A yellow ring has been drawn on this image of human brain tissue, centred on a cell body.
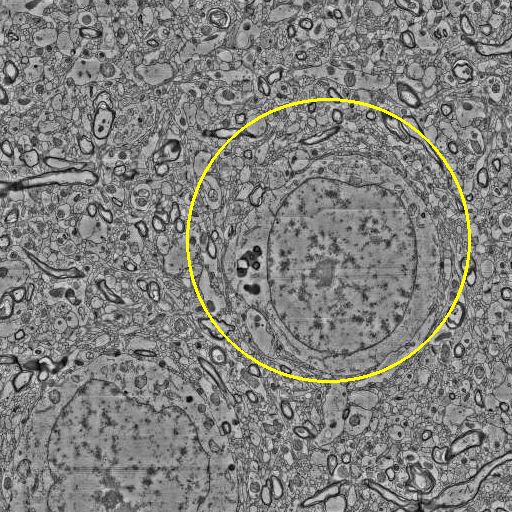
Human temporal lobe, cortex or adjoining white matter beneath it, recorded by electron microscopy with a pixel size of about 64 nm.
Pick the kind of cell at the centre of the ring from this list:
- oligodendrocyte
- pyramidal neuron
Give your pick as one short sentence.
The centre of the ring holds a pyramidal neuron.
